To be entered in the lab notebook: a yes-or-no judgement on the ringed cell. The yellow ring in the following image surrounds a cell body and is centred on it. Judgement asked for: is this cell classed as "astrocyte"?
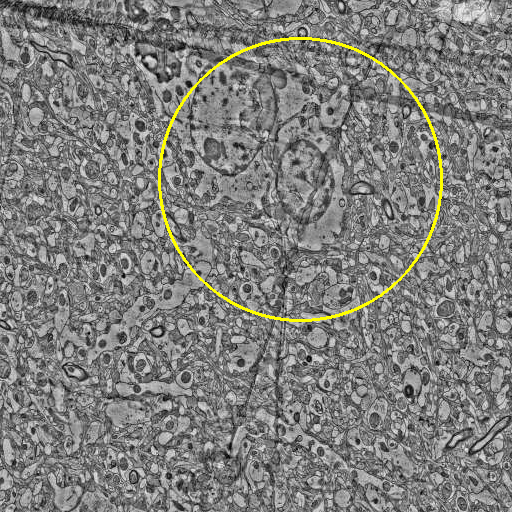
Yes, it is classed that way.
